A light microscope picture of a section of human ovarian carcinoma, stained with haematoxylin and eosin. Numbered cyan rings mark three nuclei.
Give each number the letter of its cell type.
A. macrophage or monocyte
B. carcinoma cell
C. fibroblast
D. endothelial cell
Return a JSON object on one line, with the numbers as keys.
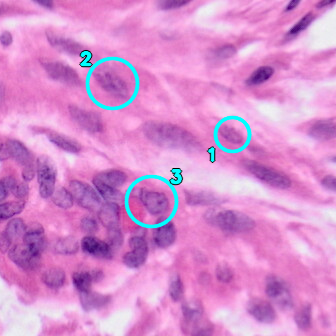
{"1": "C", "2": "C", "3": "D"}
